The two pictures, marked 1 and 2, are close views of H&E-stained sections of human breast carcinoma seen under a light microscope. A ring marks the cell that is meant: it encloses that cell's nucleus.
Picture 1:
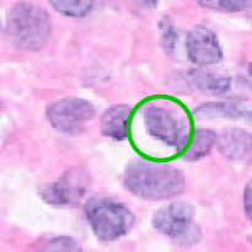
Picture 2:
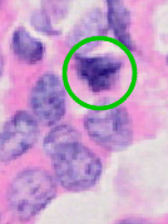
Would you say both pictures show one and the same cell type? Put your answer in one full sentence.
Yes, the two pictures both show carcinoma cells.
